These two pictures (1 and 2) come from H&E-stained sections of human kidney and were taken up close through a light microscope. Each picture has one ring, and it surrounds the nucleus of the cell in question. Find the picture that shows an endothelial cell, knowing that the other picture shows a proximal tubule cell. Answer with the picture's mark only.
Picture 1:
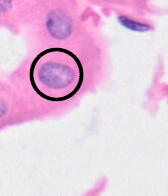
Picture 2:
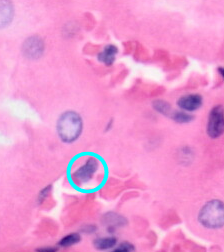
2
